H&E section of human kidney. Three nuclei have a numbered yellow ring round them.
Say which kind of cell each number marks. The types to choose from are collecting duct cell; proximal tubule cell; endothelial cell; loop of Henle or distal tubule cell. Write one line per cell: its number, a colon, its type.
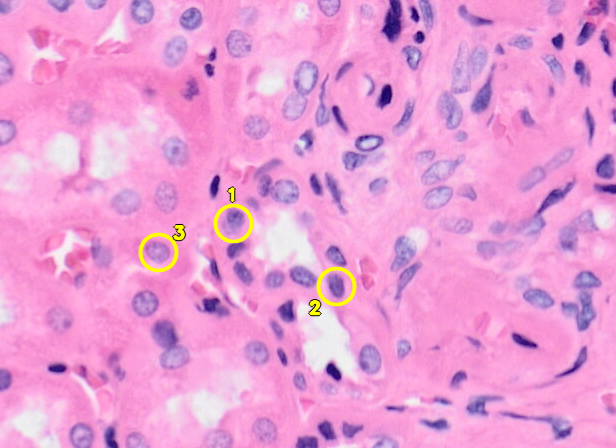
1: collecting duct cell
2: collecting duct cell
3: proximal tubule cell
